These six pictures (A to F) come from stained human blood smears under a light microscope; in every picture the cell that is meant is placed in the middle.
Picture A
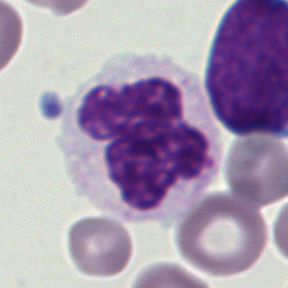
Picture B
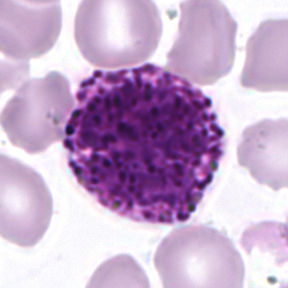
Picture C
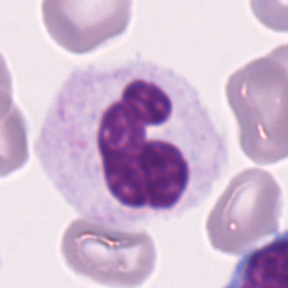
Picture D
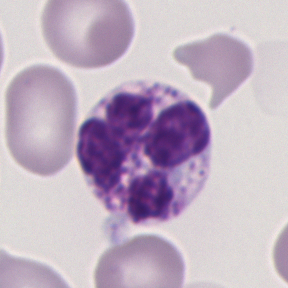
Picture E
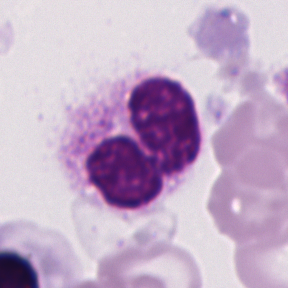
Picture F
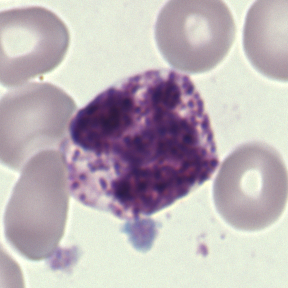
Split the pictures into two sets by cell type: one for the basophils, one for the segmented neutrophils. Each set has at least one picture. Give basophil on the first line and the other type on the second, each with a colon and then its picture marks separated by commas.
basophil: B, D, F
segmented neutrophil: A, C, E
